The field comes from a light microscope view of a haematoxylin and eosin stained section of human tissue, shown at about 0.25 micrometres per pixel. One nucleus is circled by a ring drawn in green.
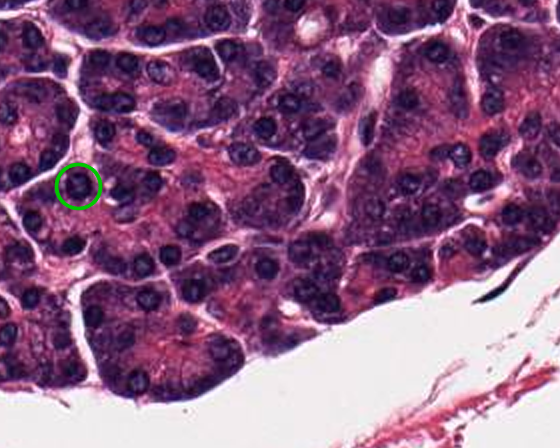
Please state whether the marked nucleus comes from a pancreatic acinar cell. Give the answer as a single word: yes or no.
yes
